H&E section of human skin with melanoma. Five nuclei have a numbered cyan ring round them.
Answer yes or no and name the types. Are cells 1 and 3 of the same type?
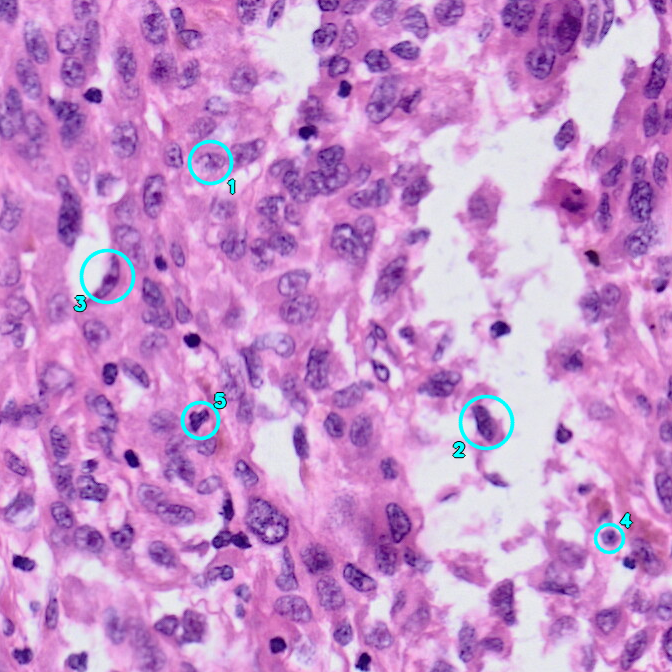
Yes, just like cell 1, cell 3 is one of the melanoma cells.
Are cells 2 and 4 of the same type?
No, the identities are a melanoma cell for cell 2 and a lymphocyte for cell 4.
